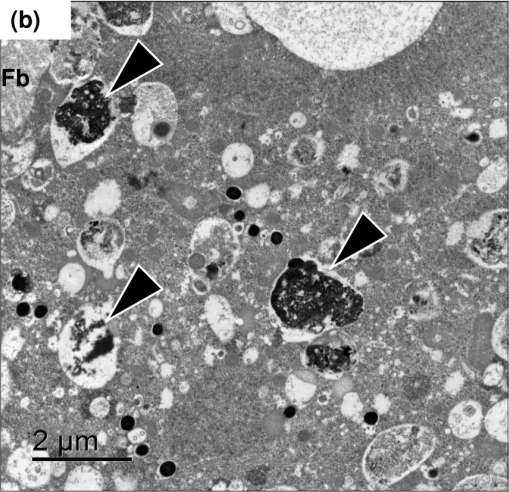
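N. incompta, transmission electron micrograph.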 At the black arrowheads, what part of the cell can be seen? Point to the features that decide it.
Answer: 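Probable food vacuoles. Each arrowhead points to a membrane-bound vacuole. The vacuoles hold clumped, electron-dense, heterogeneous material. A pale rim lies between the dense contents and the vacuole membrane.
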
